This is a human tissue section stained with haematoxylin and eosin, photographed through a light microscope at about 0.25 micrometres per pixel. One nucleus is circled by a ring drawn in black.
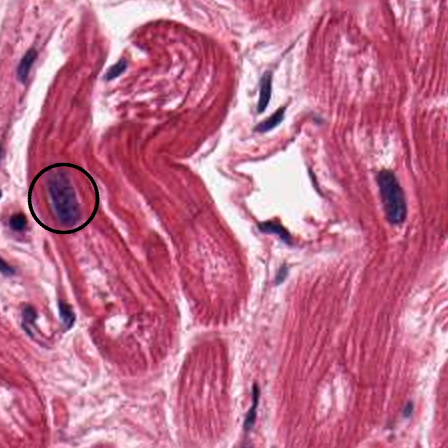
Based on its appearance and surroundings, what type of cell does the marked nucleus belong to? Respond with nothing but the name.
cardiomyocyte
